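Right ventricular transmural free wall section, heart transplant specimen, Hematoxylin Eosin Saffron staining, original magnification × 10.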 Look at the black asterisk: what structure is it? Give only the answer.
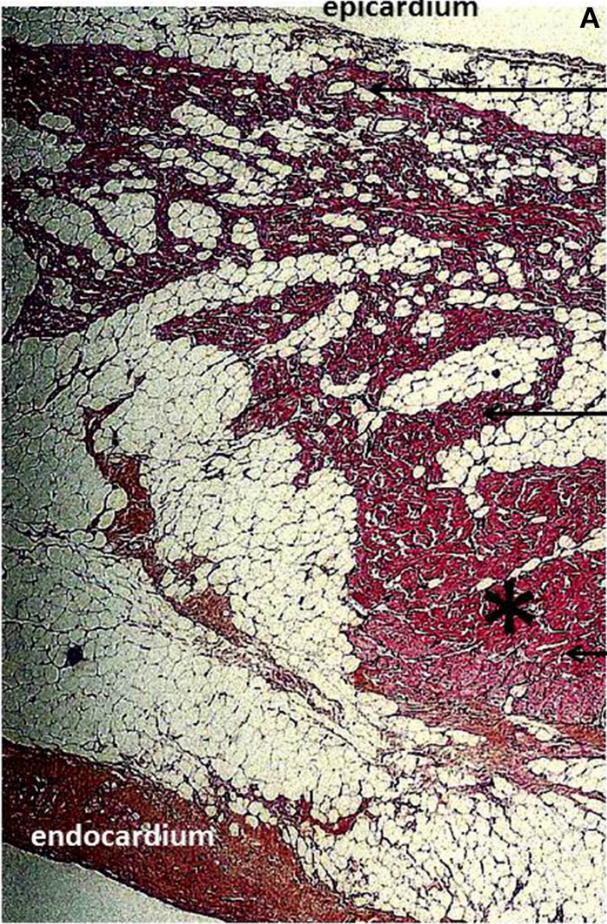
residual muscular core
